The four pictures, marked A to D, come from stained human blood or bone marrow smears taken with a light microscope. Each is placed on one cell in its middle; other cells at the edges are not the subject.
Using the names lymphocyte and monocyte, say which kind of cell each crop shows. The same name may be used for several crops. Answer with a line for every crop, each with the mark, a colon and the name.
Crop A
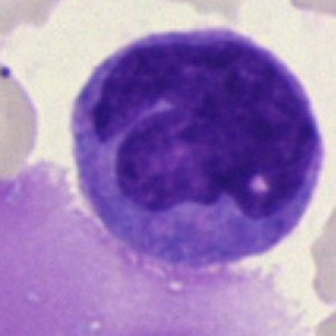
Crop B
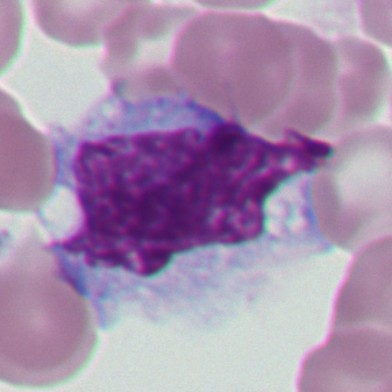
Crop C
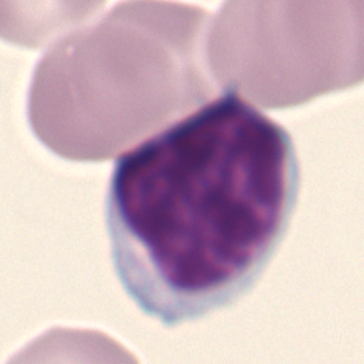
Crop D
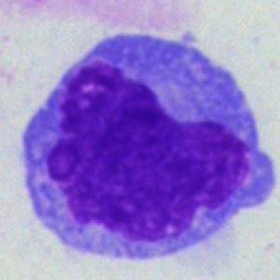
A: monocyte
B: monocyte
C: lymphocyte
D: monocyte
